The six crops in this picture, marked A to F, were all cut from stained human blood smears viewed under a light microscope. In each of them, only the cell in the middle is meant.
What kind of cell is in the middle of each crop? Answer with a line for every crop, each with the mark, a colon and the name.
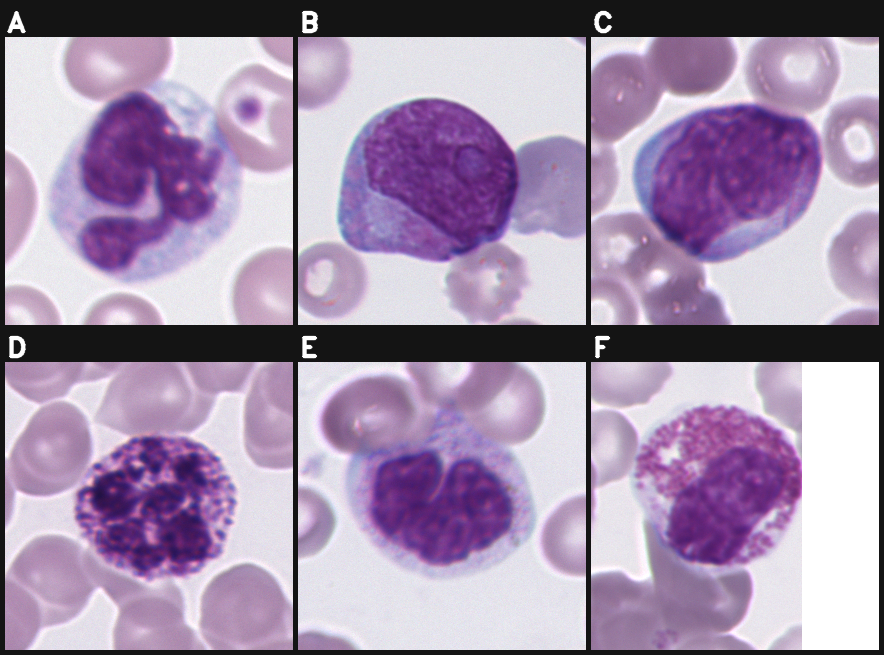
A: monocyte
B: atypical promyelocyte
C: atypical promyelocyte
D: basophil
E: band neutrophil
F: eosinophil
